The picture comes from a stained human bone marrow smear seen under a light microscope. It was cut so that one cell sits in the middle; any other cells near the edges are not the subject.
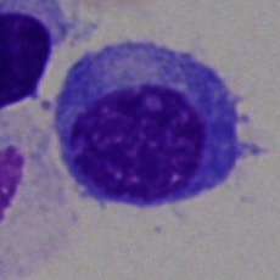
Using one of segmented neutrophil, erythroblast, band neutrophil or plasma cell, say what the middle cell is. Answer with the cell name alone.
plasma cell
